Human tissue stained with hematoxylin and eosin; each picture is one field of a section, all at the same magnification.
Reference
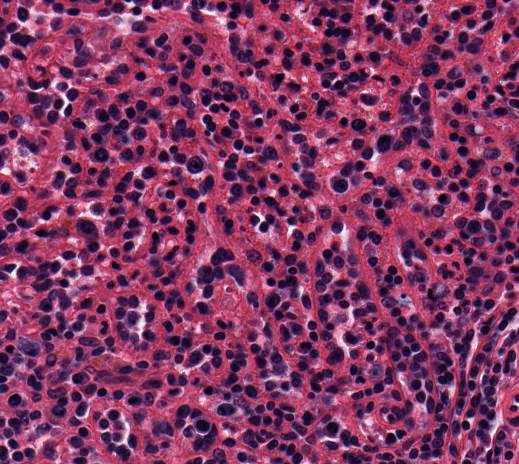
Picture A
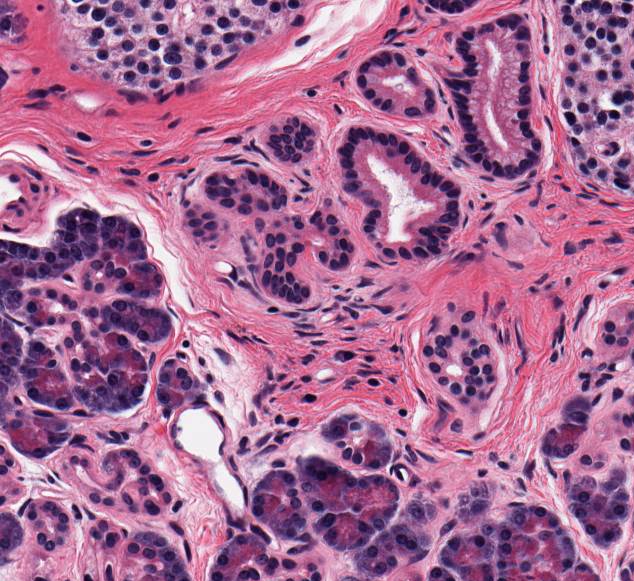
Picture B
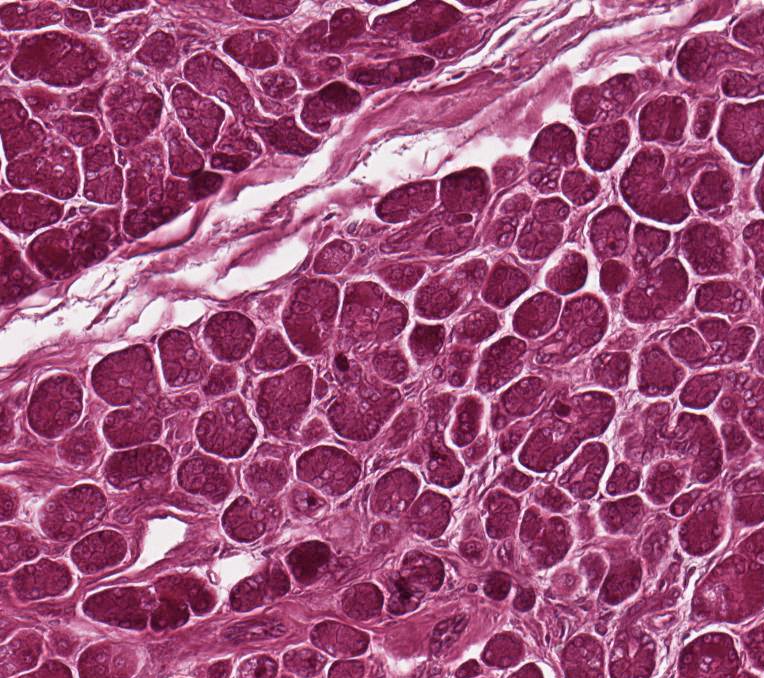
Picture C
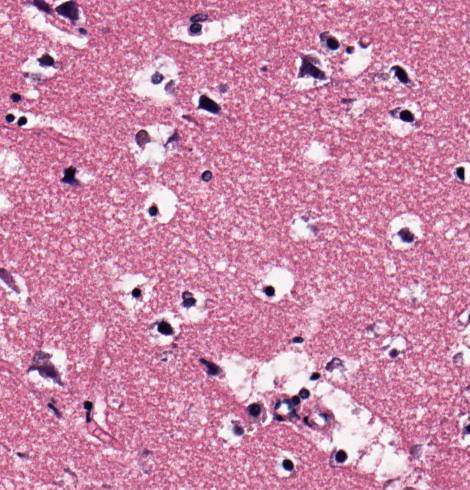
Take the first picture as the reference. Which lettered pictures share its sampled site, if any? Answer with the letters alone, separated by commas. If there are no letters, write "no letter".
no letter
